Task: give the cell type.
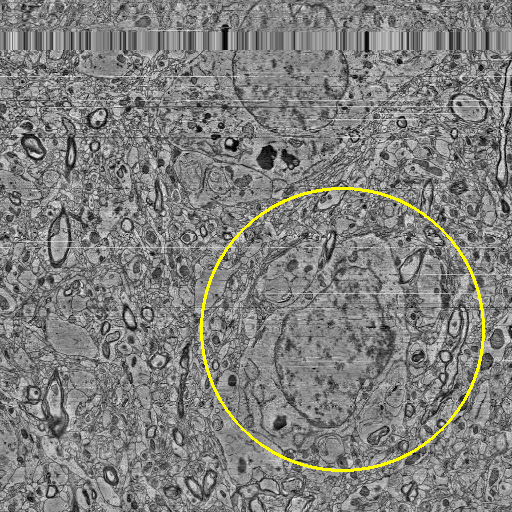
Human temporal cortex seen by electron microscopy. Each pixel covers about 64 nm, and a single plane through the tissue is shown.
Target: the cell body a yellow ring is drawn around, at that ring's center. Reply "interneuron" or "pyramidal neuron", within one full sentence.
In this picture, the cell whose body lies at the ring's center is an interneuron.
